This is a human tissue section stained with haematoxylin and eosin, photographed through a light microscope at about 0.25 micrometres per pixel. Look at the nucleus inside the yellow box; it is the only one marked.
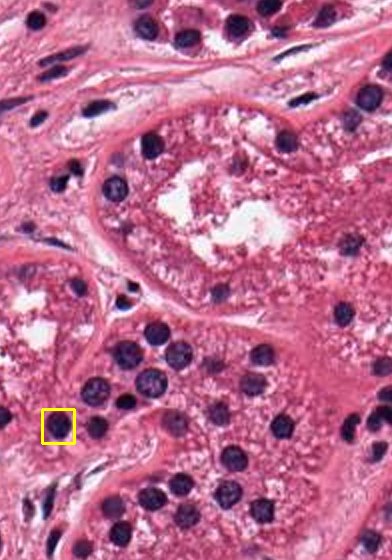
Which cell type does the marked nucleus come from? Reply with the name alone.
proximal tubule cell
